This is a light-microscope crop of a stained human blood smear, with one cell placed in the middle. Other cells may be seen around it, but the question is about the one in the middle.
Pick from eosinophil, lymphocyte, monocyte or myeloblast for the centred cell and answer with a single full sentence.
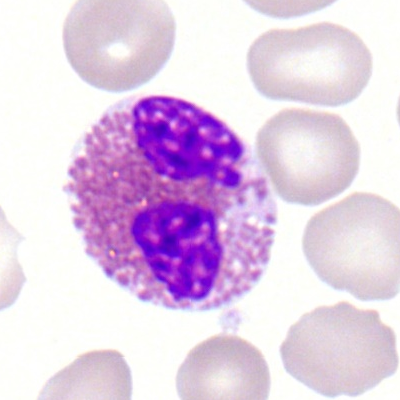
The cell centered in this field of view is an eosinophil.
